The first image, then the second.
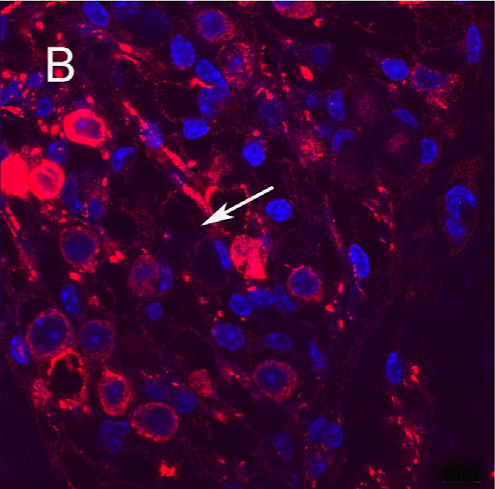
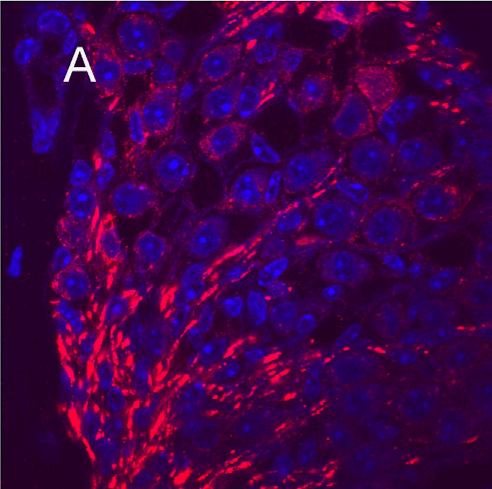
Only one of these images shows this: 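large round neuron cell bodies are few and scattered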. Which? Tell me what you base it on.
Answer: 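First image: only scattered large round cell bodies, with much space taken by small elongated nuclei. Second image: large round cell bodies are densely packed across the field. On this evidence: the first image.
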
